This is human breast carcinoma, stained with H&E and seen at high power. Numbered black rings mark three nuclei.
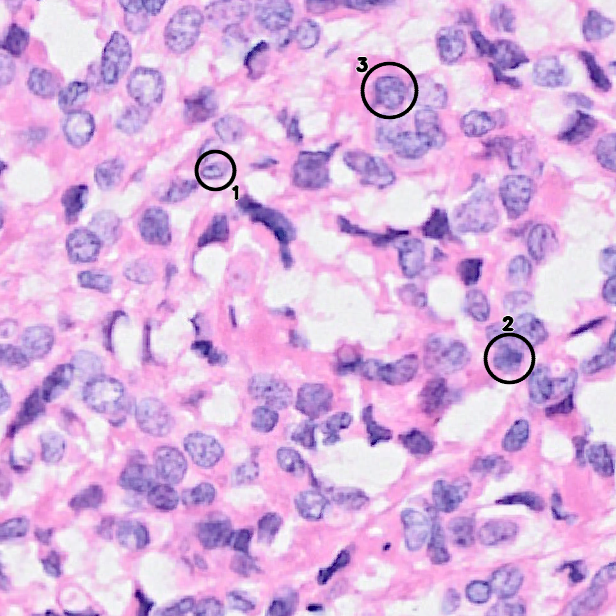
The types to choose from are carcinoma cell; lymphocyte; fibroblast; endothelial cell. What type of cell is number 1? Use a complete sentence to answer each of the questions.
The cell that bears the number 1 is an endothelial cell.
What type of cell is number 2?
The nucleus marked 2 is the nucleus of a carcinoma cell.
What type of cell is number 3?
The cell marked with the number 3 is a carcinoma cell.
